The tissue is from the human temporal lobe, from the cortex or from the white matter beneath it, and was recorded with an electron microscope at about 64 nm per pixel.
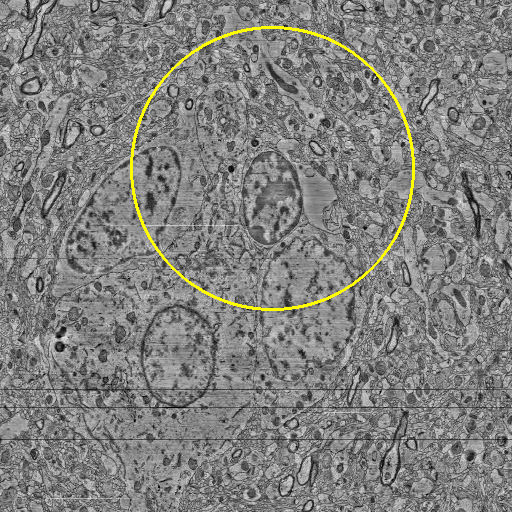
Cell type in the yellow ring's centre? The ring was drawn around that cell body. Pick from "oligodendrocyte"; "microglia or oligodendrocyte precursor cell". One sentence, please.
The ringed cell body is that of a microglial cell or oligodendrocyte precursor cell.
